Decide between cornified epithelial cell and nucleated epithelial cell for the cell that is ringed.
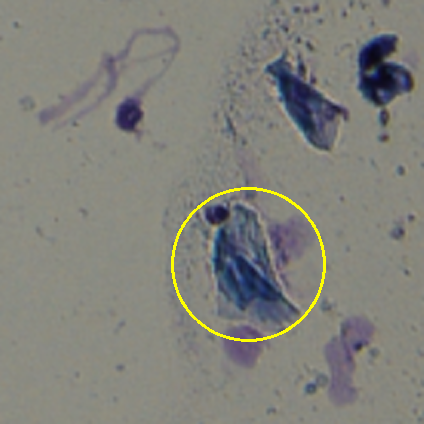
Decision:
I take the ringed cell for a cornified epithelial cell.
